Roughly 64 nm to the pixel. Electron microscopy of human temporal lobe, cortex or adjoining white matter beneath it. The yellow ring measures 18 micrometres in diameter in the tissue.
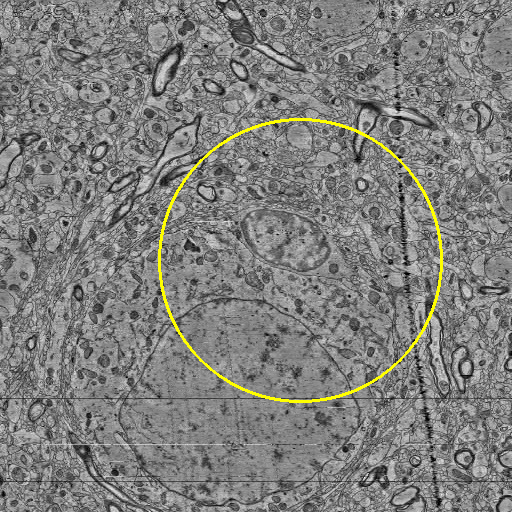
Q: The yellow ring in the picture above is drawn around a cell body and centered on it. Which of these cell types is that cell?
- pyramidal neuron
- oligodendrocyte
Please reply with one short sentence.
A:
The cell body at the ring's center belongs to an oligodendrocyte.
